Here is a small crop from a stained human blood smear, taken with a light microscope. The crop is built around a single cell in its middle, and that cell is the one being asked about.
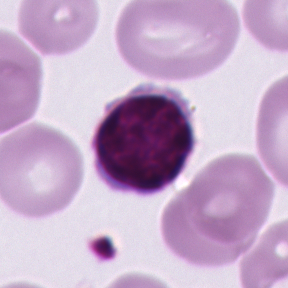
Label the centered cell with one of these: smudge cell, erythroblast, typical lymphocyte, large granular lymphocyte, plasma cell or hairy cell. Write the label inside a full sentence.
Among the cells in view, the one in the middle is a large granular lymphocyte.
